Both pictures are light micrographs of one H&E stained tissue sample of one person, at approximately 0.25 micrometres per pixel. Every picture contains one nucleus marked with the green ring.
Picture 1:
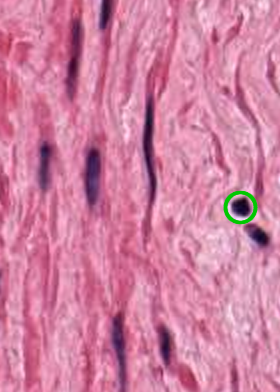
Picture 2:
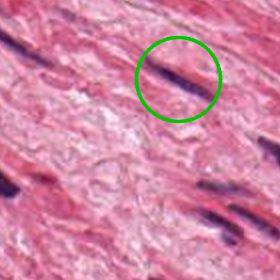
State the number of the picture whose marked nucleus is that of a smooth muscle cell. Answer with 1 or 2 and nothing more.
2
